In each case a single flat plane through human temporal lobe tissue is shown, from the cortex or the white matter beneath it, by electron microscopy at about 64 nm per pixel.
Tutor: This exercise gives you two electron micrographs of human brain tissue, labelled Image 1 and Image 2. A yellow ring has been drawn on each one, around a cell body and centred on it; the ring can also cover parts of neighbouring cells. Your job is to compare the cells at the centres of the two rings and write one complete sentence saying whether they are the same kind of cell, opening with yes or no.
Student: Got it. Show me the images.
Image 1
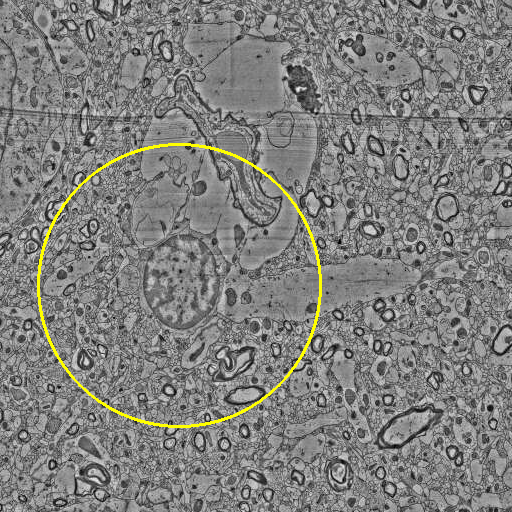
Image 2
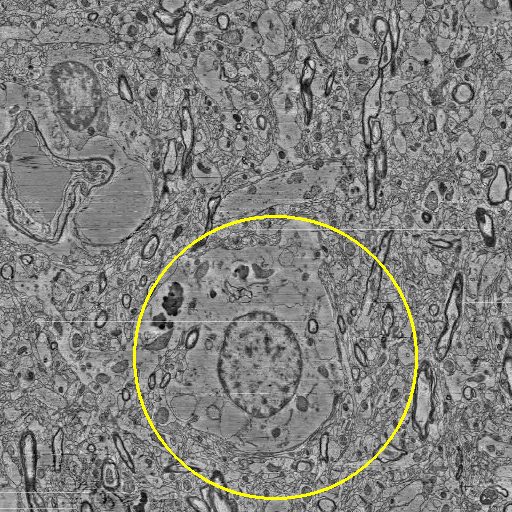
No, the two cells belong to two kinds.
